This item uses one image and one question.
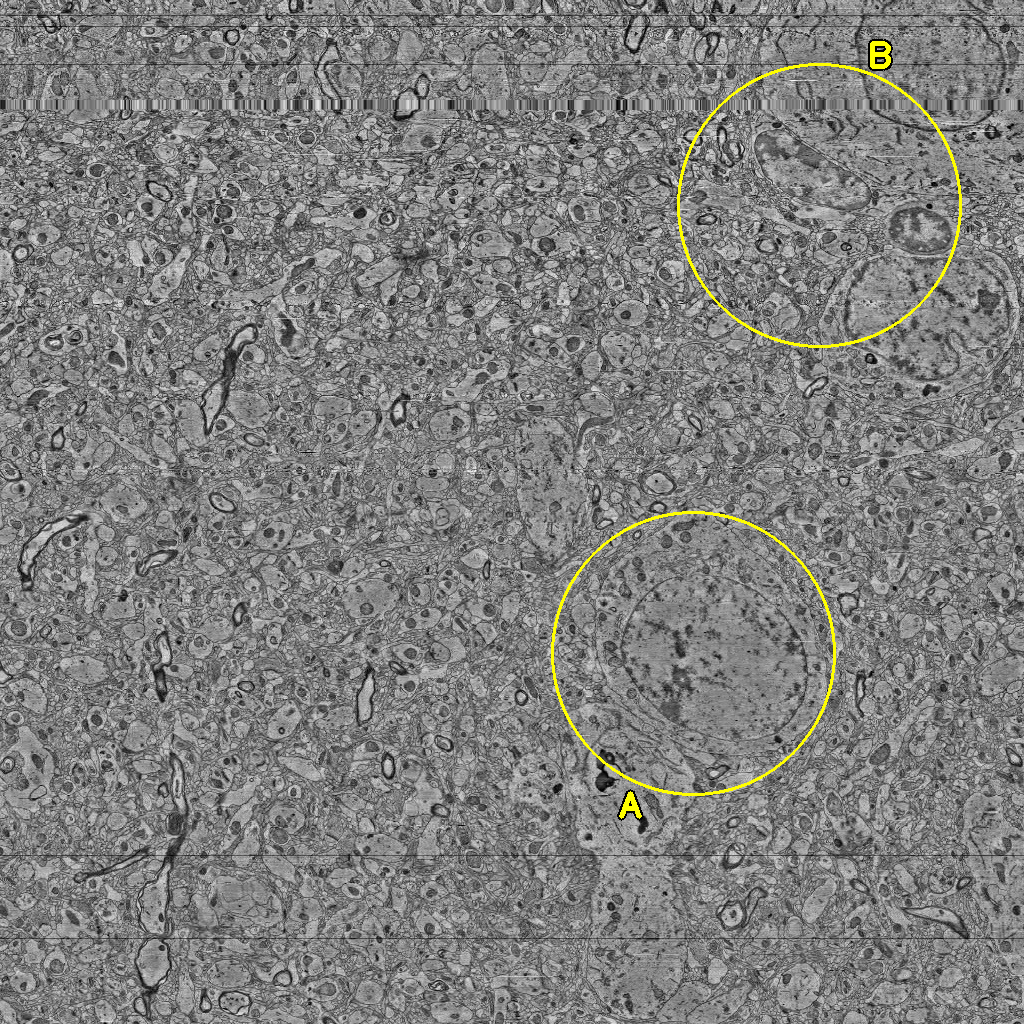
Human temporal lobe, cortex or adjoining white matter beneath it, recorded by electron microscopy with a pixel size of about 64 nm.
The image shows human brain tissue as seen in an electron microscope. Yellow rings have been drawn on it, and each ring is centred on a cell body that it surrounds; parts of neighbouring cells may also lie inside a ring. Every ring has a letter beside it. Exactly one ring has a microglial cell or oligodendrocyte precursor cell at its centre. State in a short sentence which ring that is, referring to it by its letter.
Ring B has that cell at its centre.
